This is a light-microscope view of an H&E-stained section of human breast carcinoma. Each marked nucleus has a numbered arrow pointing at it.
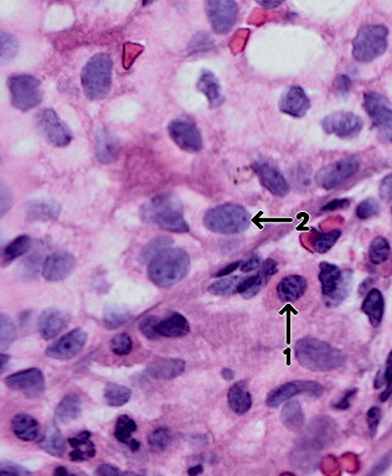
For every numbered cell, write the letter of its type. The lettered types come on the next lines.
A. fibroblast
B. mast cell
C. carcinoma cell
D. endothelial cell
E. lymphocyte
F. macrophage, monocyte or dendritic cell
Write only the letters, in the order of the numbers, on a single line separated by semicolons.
B; C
